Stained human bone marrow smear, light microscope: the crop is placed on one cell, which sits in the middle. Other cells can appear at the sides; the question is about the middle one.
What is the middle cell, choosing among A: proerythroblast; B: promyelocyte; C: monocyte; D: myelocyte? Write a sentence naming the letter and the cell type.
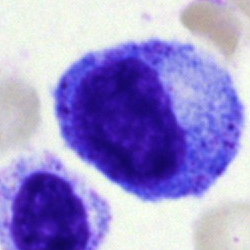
The cell placed in the middle is a promyelocyte; option B is correct.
